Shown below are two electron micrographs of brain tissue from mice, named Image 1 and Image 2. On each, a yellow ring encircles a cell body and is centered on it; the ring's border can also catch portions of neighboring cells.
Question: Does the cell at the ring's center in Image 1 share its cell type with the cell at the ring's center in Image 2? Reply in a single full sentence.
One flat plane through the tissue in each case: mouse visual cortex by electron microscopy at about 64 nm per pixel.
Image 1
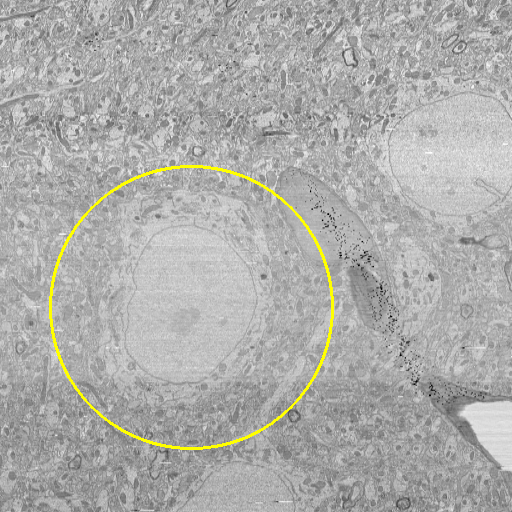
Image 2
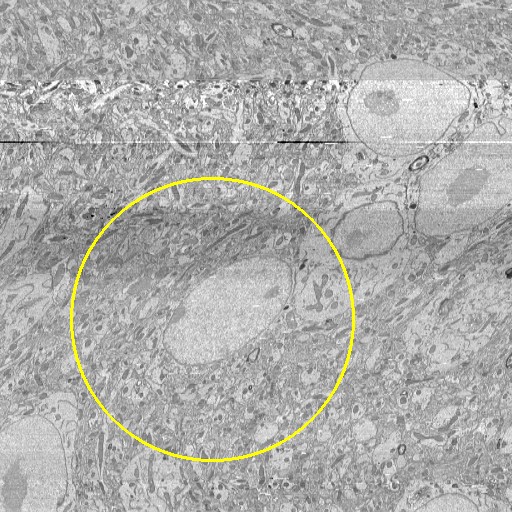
No, the two cells at the ring centers, in Image 1 and Image 2, are of two cell types.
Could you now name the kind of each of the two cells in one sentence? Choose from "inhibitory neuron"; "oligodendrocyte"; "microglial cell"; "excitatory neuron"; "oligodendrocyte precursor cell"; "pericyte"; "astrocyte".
The first ring encloses an excitatory neuron; the second ring encloses an astrocyte.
